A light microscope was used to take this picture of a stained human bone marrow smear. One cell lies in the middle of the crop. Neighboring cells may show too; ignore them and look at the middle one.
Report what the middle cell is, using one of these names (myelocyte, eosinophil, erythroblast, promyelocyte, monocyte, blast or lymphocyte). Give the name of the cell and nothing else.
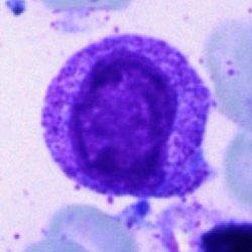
promyelocyte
